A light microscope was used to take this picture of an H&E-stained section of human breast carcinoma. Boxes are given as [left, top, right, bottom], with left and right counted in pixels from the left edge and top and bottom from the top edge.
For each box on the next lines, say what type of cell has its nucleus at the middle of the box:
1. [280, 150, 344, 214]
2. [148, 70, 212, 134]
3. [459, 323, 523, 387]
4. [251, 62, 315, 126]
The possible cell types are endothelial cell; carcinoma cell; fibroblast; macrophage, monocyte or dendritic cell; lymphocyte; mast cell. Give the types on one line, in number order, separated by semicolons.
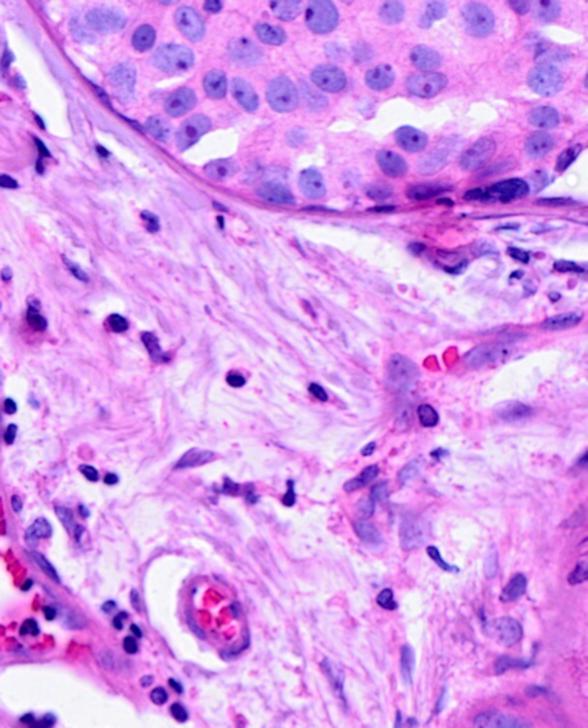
carcinoma cell; carcinoma cell; endothelial cell; carcinoma cell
